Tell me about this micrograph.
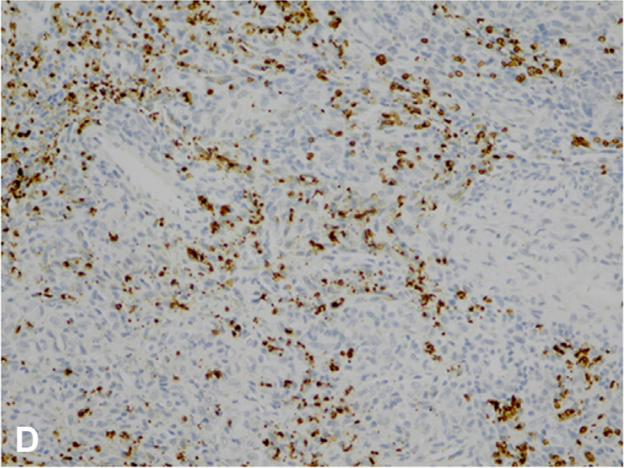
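The spindle-shaped tumor cells, with pale blue nuclei, take up no brown stain. The only brown-staining elements are small, round erythrocytes, which lie scattered singly and in clusters between the tumor cells.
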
